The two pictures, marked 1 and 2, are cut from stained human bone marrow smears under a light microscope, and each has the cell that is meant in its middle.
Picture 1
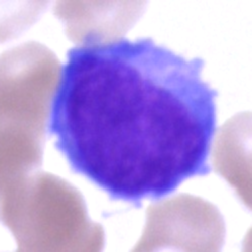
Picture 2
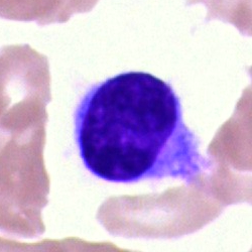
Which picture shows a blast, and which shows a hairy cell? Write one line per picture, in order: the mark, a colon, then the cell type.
1: blast
2: hairy cell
